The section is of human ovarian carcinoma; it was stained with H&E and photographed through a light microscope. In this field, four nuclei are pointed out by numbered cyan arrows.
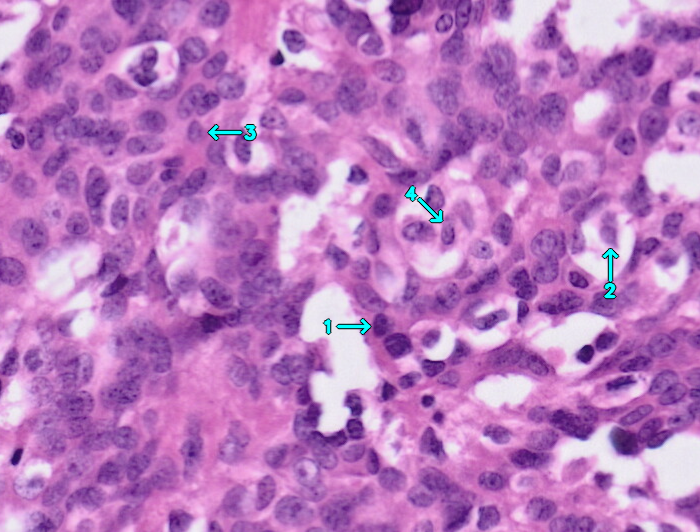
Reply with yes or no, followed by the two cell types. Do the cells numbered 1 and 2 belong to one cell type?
Yes, by cell type, cells 1 and 2 are both carcinoma cells.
